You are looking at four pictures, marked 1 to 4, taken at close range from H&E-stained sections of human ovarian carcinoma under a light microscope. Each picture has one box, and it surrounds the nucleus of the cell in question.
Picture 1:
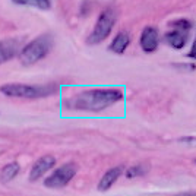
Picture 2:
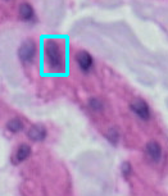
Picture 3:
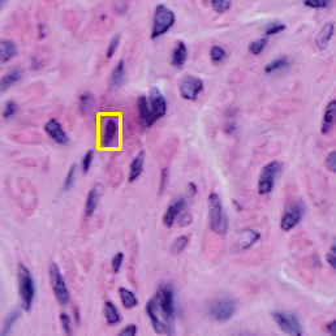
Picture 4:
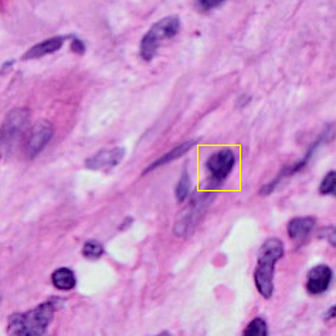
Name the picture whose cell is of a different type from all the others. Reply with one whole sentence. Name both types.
Picture 4 differs, because its cell is a lymphocyte and the rest are smooth muscle cells.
